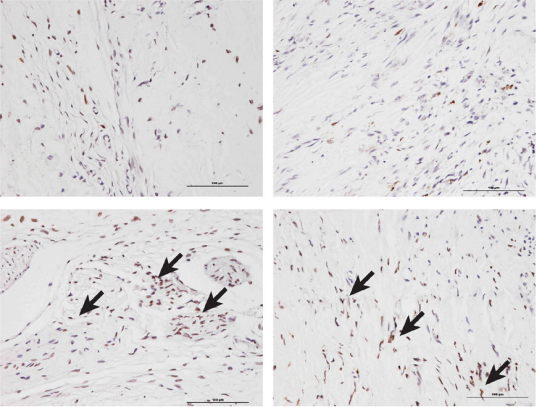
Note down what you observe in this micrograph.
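In the lower row many nuclei are stained brown, gathered in small clusters in places, while the upper row has fewer brown nuclei. The cells run in loosely parallel streams through the matrix.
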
